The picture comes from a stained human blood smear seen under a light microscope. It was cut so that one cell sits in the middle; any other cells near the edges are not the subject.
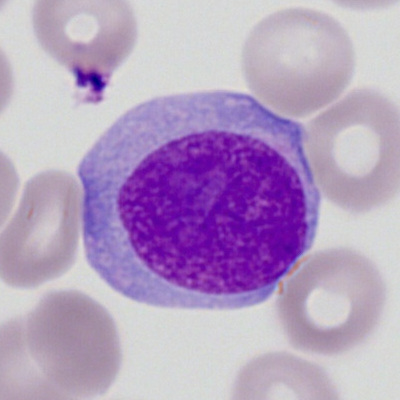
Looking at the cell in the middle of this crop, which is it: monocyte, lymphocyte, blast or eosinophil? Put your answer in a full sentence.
The cell at the centre of the field is a blast.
